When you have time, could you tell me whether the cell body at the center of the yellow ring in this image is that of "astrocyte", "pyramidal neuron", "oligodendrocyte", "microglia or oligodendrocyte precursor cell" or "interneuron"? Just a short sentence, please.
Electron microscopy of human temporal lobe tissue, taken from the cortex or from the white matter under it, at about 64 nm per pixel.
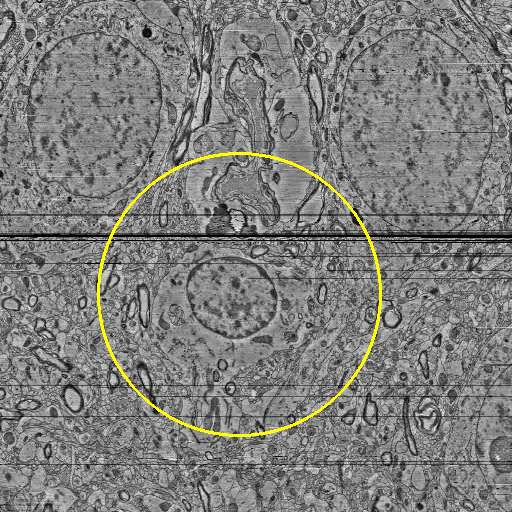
The cell body at the center of the ring is that of an astrocyte.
